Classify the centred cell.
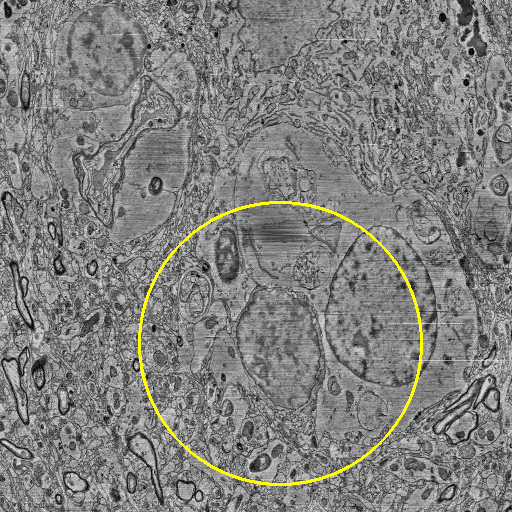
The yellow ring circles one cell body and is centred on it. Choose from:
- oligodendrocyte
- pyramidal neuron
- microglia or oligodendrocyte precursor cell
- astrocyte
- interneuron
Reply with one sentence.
The ring is centred on an oligodendrocyte.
